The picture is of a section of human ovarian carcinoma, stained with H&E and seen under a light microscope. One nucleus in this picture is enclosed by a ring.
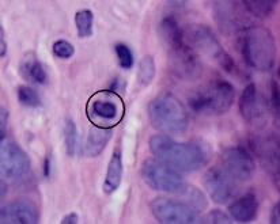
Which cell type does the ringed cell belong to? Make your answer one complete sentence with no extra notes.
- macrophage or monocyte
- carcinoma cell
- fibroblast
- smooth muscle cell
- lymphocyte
In the tissue at hand, the ringed cell is a lymphocyte.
